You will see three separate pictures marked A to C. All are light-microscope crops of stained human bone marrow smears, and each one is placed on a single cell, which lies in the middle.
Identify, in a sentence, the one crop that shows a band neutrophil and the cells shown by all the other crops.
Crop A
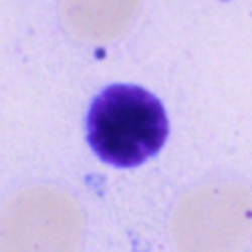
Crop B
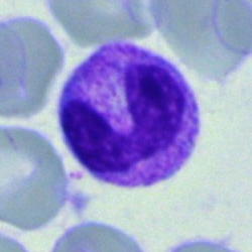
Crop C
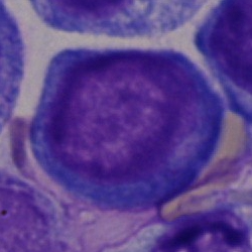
In crop B the cell shown is a band neutrophil, and crop A is a lymphocyte and crop C is a proerythroblast.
